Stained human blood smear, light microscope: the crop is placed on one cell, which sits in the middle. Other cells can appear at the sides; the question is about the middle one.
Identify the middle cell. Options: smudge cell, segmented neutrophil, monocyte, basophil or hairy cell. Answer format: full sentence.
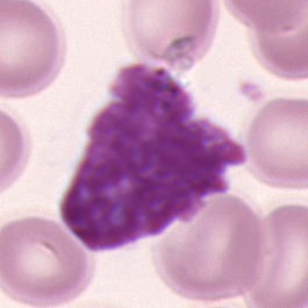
Occupying the centre of the crop is a smudge cell.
